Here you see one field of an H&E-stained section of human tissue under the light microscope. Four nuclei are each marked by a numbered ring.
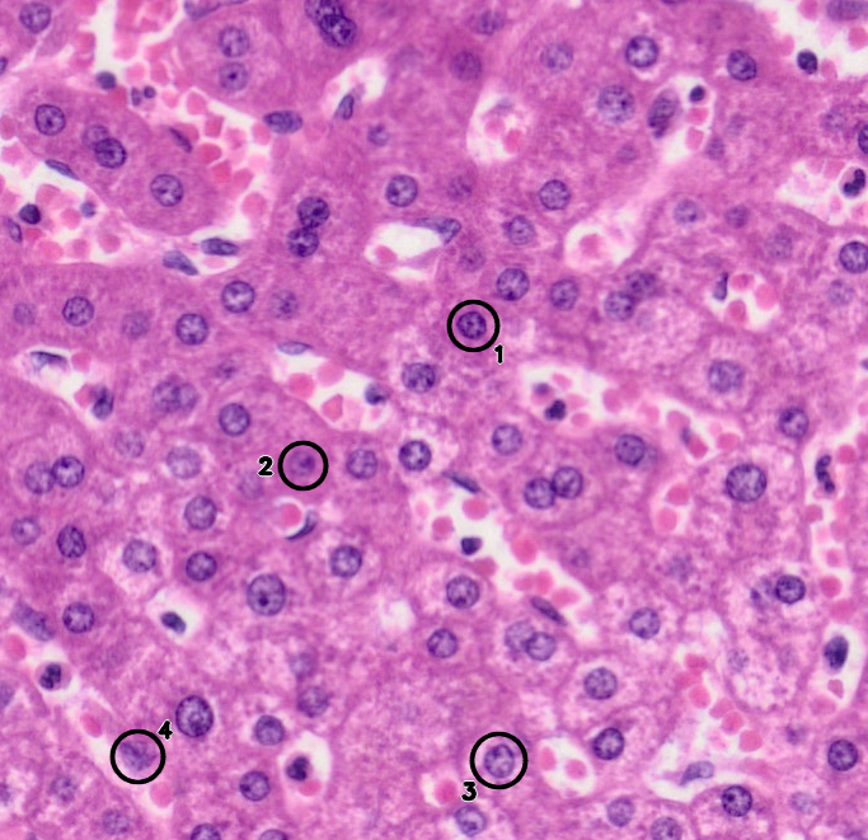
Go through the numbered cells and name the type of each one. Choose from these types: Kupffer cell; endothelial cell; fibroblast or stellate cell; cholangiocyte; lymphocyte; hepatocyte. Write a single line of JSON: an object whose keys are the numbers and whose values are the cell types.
{"1": "hepatocyte", "2": "hepatocyte", "3": "hepatocyte", "4": "Kupffer cell"}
